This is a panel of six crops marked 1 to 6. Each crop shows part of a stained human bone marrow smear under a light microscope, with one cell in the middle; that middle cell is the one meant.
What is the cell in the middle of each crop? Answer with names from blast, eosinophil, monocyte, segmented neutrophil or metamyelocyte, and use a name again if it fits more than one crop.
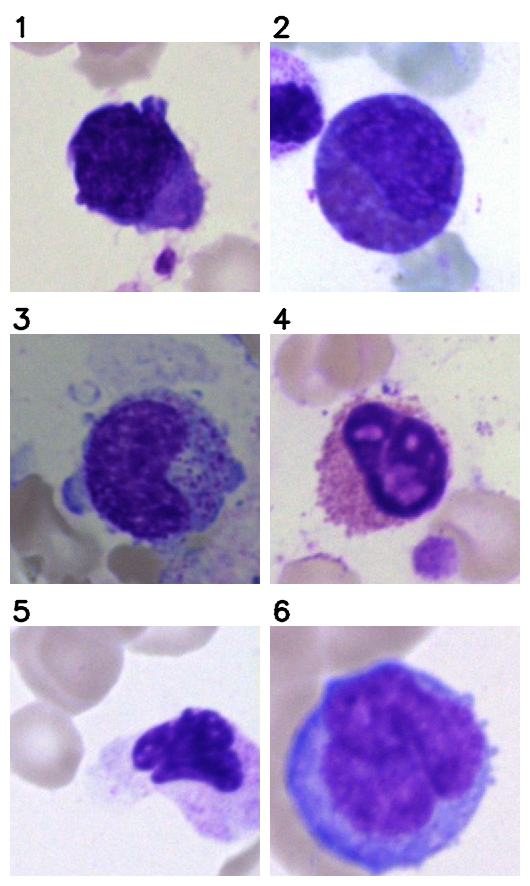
1: blast
2: eosinophil
3: metamyelocyte
4: eosinophil
5: segmented neutrophil
6: blast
